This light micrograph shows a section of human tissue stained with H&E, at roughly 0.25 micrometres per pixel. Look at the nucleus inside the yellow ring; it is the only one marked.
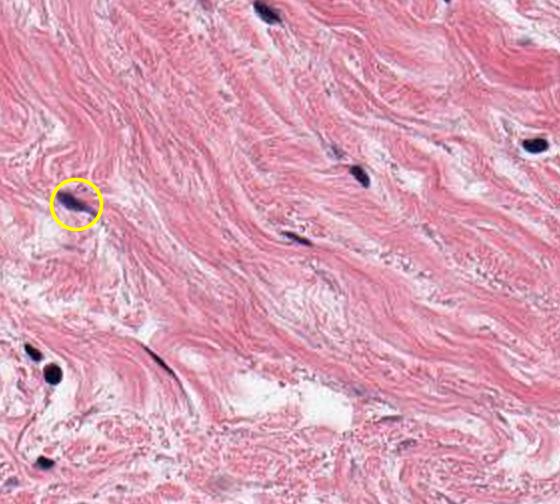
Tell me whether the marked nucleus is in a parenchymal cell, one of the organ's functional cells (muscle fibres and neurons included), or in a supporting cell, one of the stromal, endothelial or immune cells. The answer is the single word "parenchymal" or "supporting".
supporting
